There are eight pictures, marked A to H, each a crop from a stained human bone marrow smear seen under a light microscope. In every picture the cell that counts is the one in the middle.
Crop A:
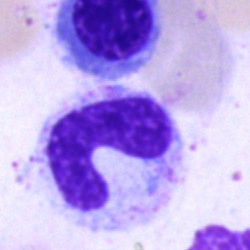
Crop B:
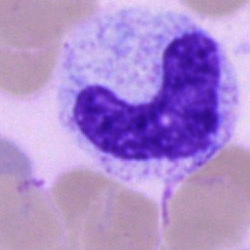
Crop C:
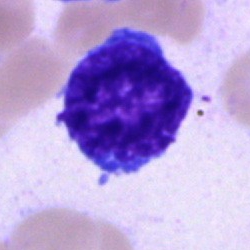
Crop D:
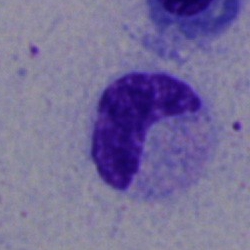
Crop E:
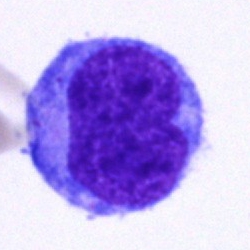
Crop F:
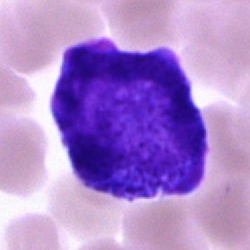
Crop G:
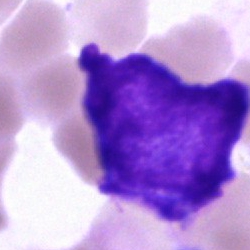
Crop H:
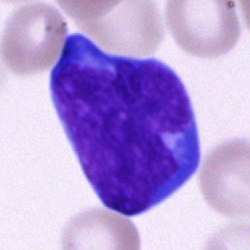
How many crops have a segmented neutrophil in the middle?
0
